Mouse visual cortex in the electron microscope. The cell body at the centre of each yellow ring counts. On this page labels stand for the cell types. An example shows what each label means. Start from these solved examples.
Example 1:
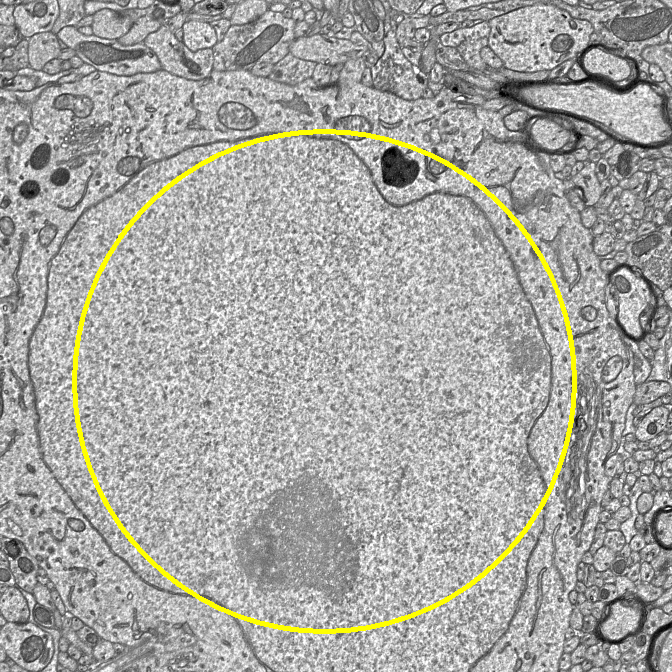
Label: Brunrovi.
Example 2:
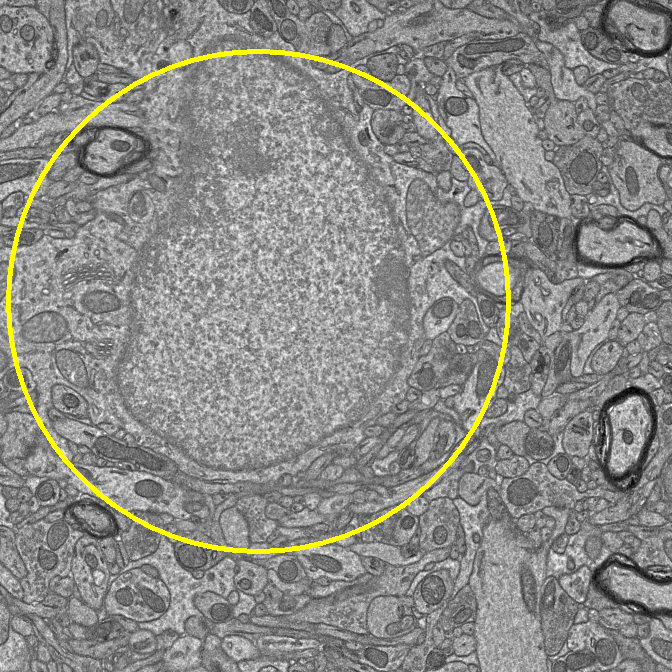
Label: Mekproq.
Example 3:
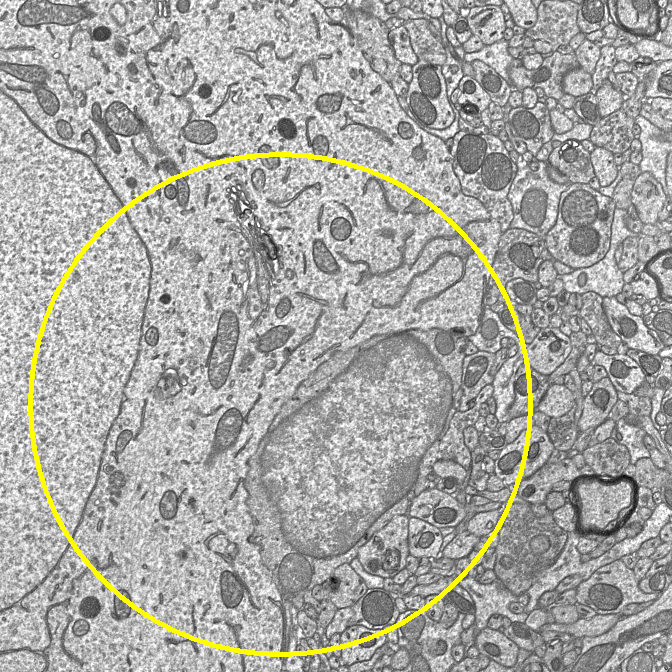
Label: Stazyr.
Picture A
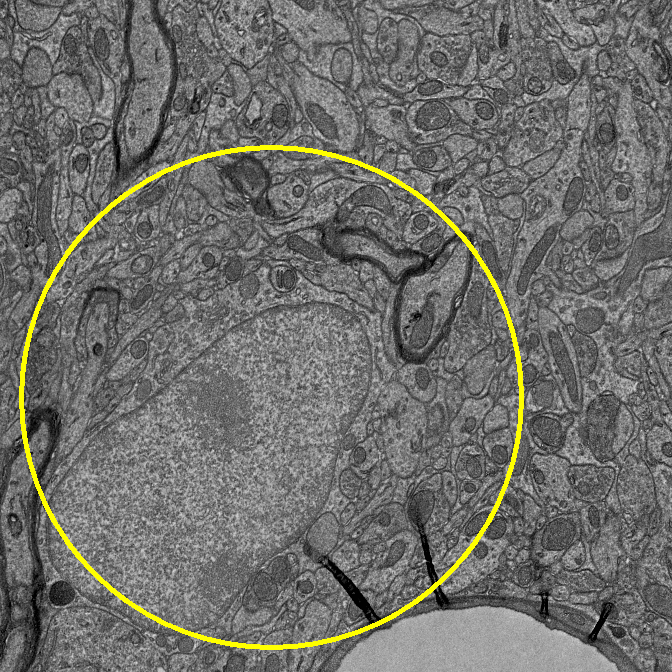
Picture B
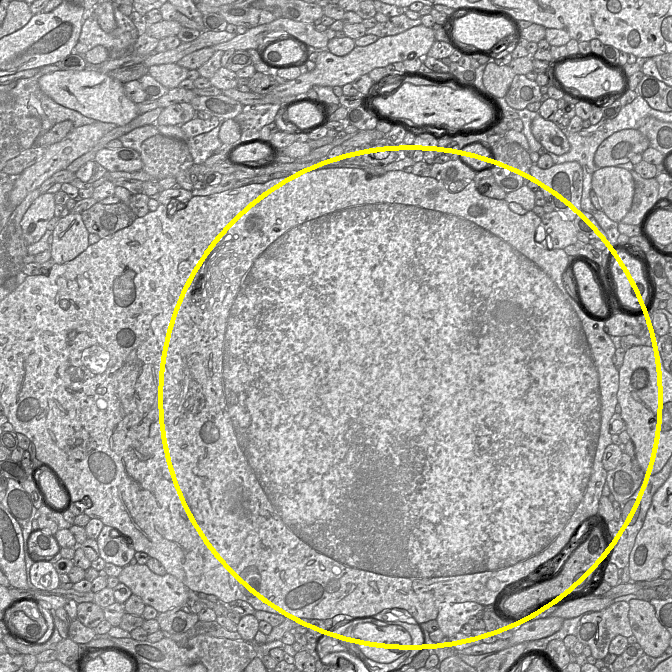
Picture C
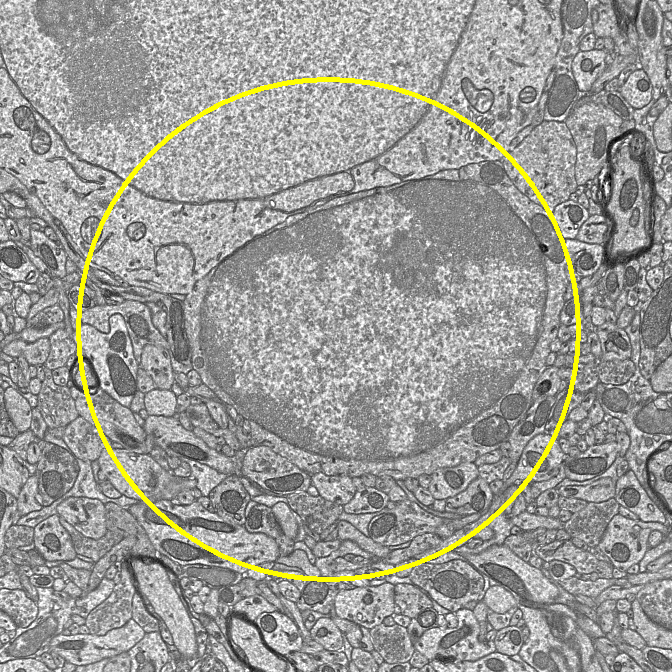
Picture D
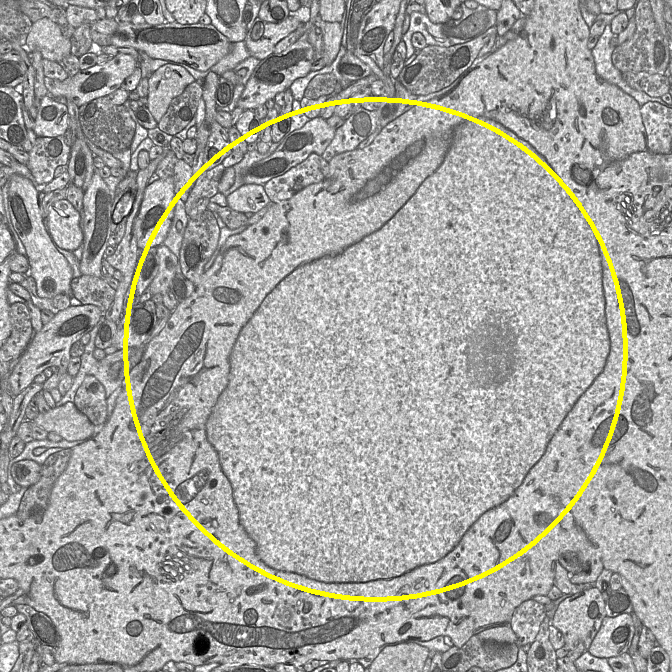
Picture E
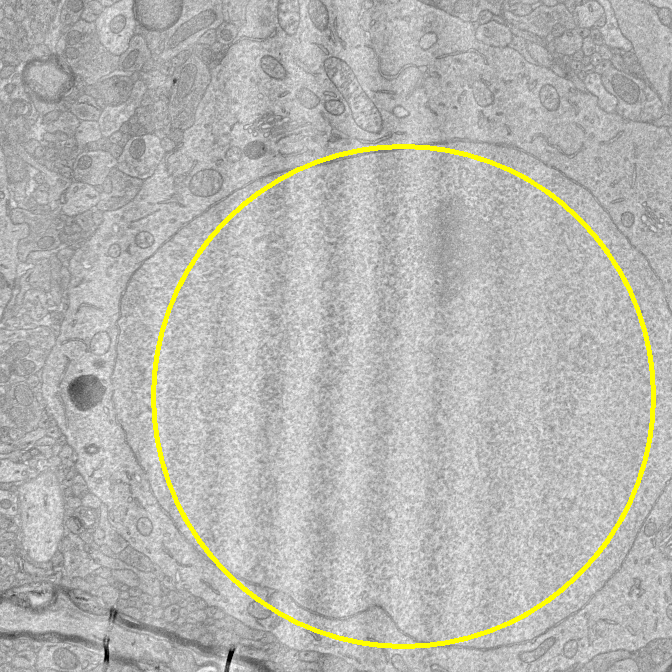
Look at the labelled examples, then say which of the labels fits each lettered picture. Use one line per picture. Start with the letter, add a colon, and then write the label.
A: Mekproq.
B: Stazyr.
C: Stazyr.
D: Brunrovi.
E: Brunrovi.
